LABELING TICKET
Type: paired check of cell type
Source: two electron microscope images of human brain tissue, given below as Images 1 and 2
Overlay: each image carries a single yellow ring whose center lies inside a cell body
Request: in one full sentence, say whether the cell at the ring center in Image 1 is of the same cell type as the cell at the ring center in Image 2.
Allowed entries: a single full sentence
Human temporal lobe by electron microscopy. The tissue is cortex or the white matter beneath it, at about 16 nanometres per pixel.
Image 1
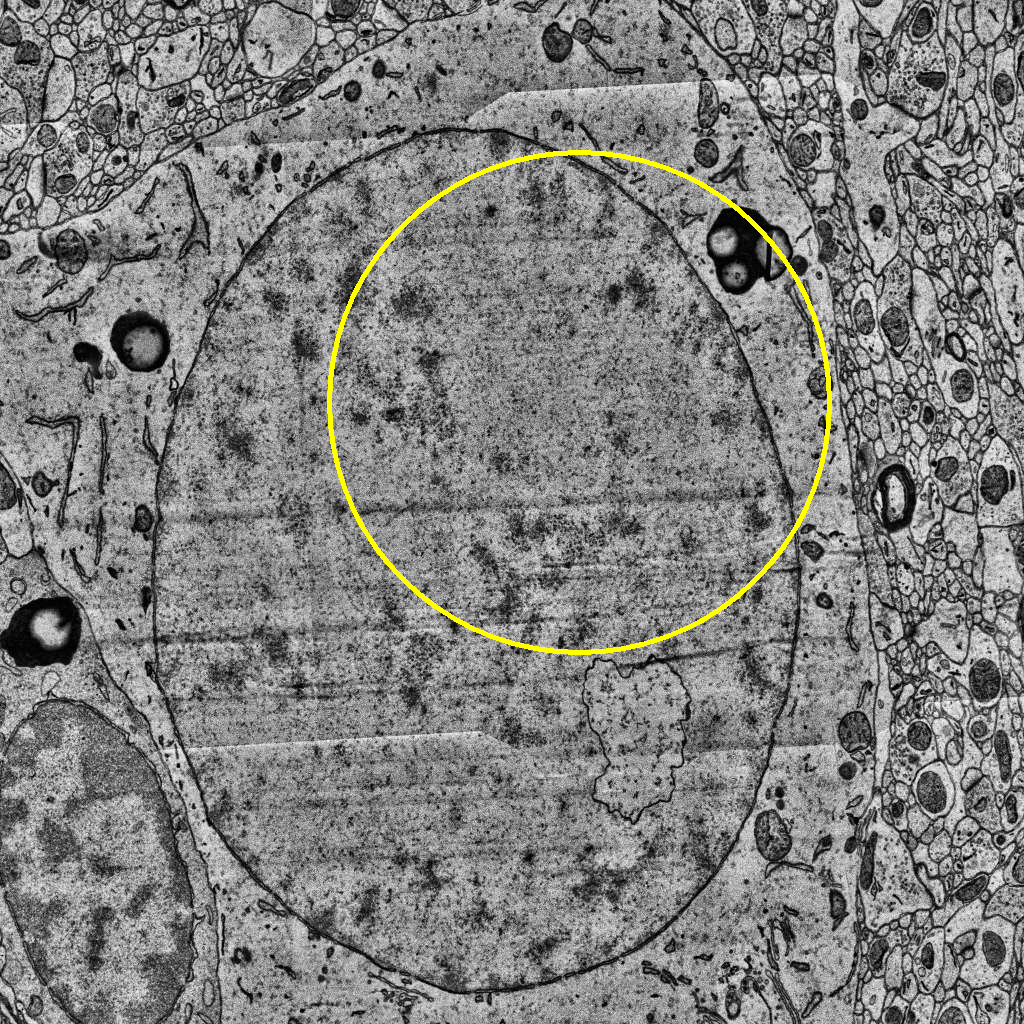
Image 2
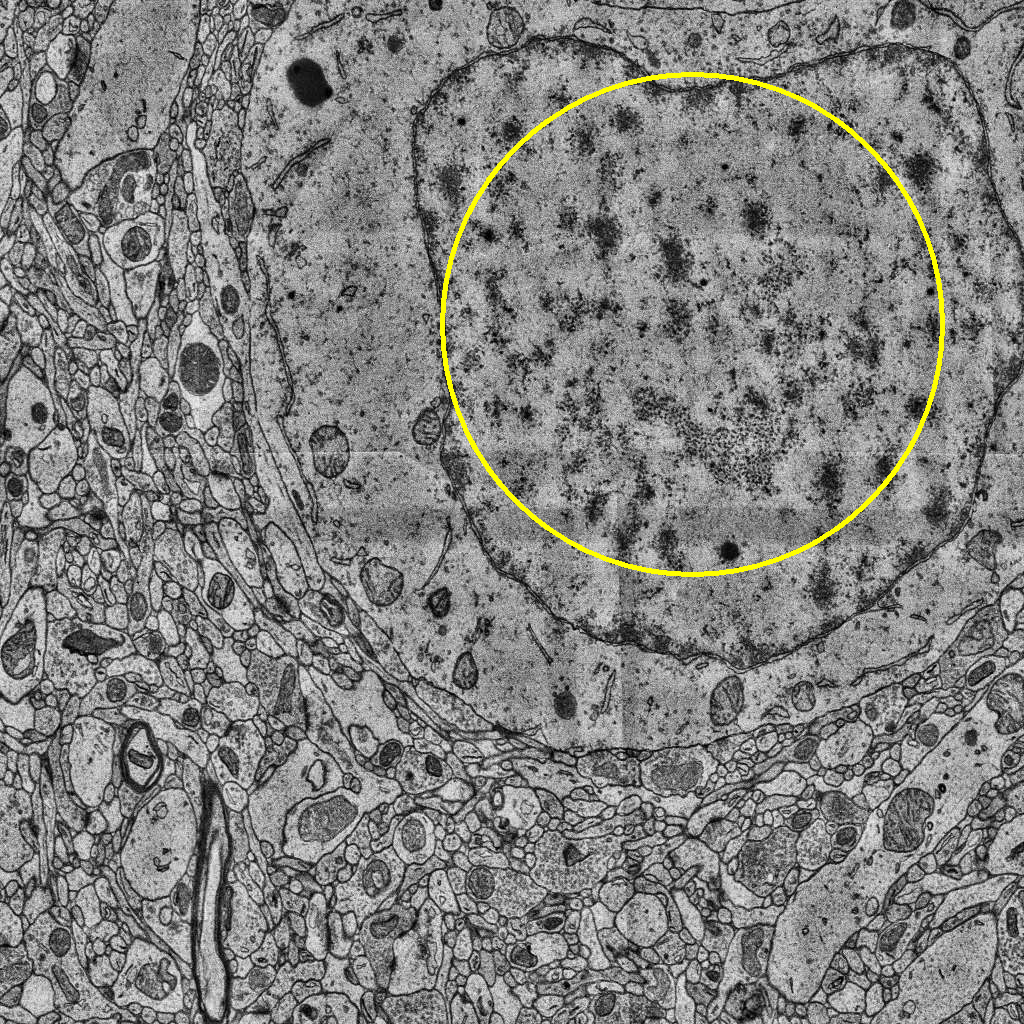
Yes, the cells at the ring centers of Image 1 and Image 2 share one type.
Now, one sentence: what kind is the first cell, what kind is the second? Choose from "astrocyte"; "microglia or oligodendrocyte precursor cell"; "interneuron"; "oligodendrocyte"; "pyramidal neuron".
The first and the second cell are each a pyramidal neuron.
